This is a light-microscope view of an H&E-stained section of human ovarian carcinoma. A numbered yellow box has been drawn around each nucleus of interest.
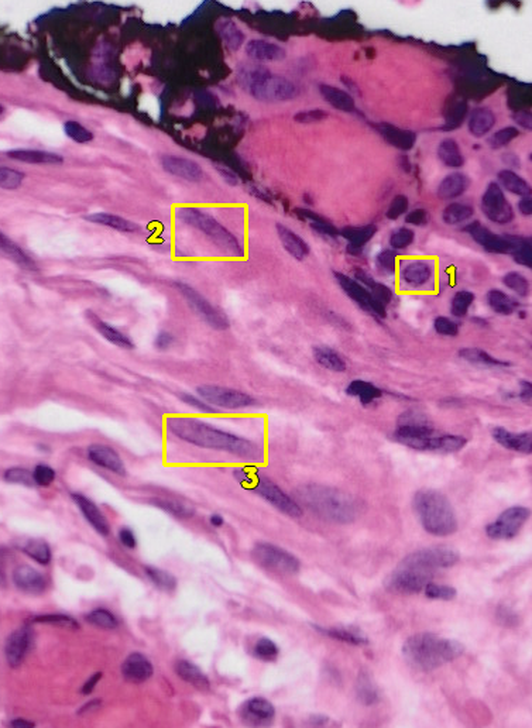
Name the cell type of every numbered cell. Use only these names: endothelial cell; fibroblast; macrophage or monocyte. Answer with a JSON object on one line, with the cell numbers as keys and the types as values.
{"1": "macrophage or monocyte", "2": "fibroblast", "3": "fibroblast"}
